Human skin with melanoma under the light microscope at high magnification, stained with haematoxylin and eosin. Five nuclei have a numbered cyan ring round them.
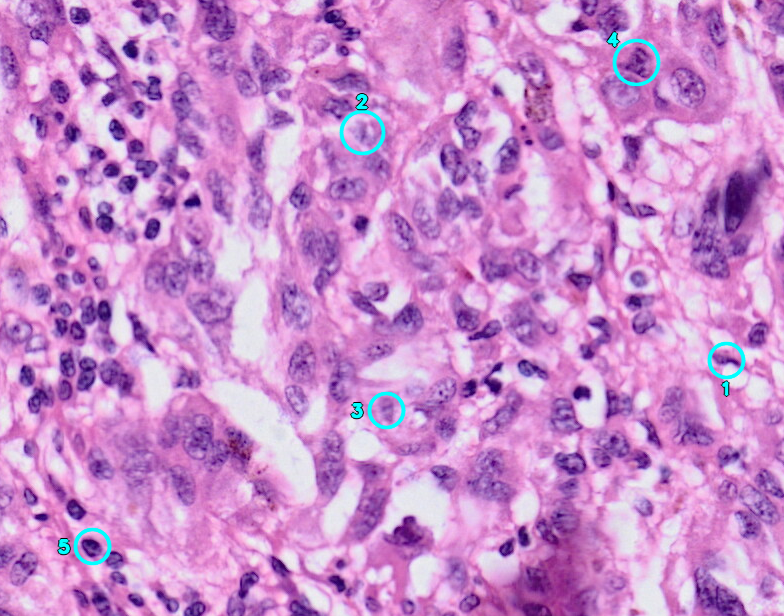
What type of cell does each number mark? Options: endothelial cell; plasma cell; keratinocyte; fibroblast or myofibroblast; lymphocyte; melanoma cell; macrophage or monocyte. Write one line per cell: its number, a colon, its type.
1: fibroblast or myofibroblast
2: melanoma cell
3: melanoma cell
4: melanoma cell
5: lymphocyte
